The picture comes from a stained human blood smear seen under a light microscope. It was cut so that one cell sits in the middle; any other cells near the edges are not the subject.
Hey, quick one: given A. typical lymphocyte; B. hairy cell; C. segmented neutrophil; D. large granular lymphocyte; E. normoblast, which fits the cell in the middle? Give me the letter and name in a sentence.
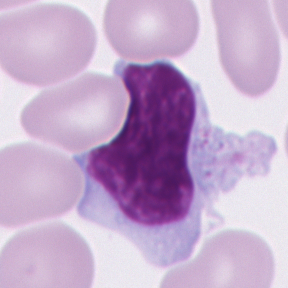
The correct choice is option D, which identifies the middle cell as a large granular lymphocyte.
